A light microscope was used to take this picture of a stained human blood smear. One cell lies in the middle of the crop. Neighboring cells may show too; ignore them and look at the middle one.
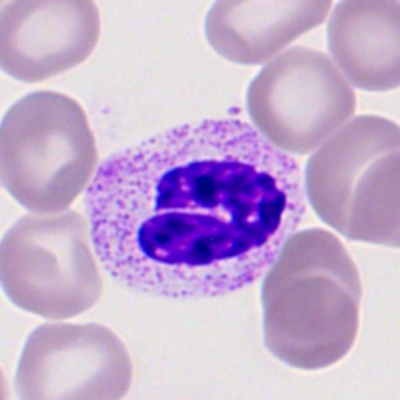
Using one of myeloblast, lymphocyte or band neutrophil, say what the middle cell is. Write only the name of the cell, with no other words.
band neutrophil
